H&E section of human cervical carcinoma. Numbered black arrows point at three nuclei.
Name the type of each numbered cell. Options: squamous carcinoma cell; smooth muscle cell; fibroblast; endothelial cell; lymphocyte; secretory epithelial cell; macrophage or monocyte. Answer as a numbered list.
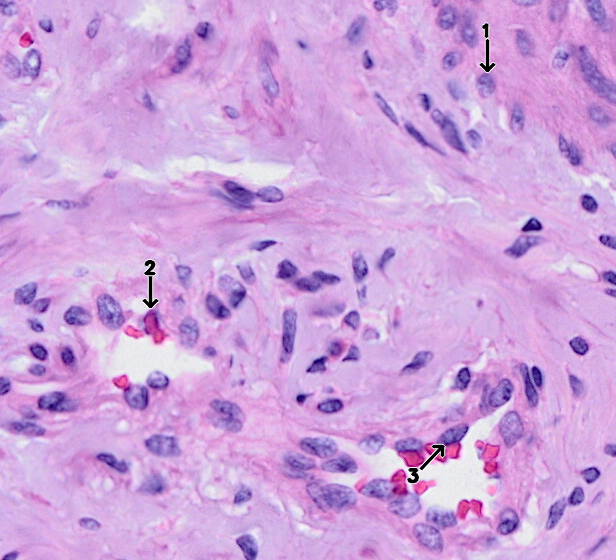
1. smooth muscle cell
2. endothelial cell
3. endothelial cell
